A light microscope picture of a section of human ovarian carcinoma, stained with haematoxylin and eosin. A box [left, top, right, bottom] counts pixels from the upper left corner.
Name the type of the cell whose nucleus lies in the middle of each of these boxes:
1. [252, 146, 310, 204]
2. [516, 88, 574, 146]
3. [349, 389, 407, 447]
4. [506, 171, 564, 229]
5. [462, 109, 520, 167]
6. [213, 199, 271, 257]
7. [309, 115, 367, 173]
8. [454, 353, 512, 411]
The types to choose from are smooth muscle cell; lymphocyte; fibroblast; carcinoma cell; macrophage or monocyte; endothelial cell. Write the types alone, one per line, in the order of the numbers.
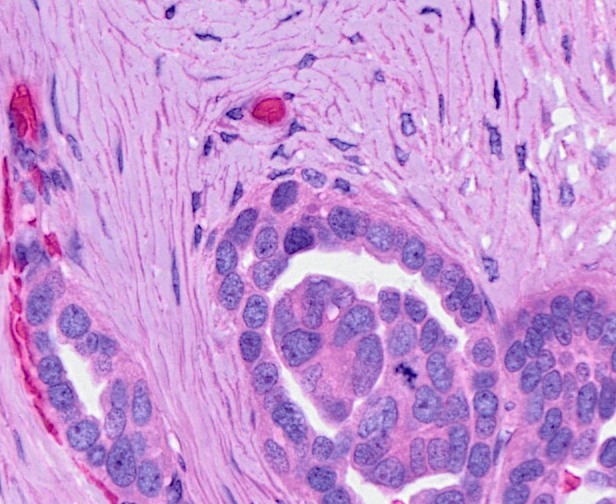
fibroblast
fibroblast
carcinoma cell
fibroblast
fibroblast
carcinoma cell
fibroblast
carcinoma cell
